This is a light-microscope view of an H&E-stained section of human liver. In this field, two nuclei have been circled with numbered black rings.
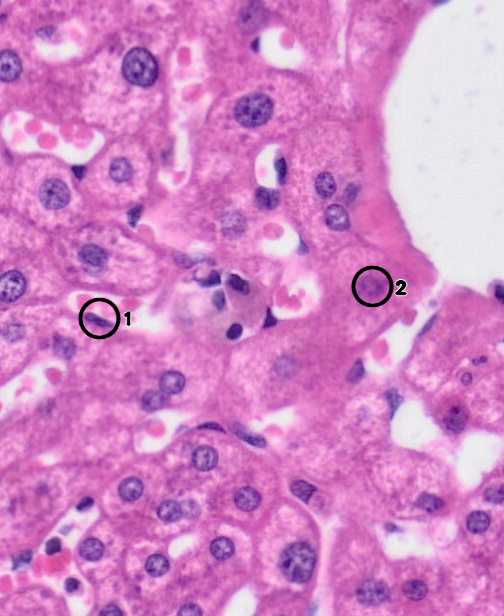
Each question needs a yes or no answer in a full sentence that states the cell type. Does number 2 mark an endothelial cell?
No, cell number 2 is a hepatocyte; it is not an endothelial cell.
